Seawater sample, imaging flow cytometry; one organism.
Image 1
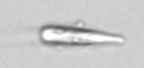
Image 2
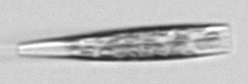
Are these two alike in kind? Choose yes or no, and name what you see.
Yes. Licmophora.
